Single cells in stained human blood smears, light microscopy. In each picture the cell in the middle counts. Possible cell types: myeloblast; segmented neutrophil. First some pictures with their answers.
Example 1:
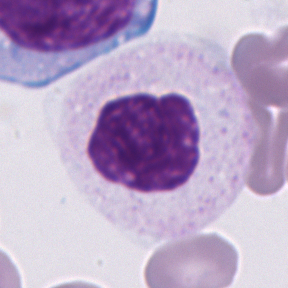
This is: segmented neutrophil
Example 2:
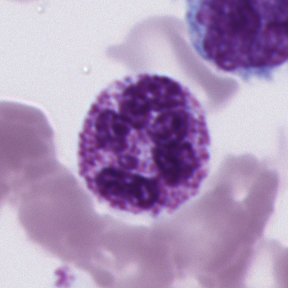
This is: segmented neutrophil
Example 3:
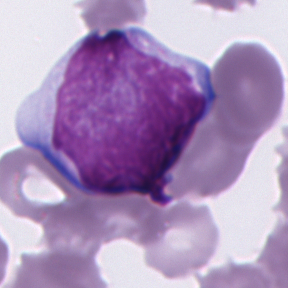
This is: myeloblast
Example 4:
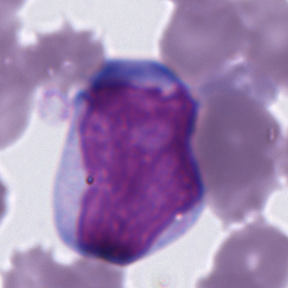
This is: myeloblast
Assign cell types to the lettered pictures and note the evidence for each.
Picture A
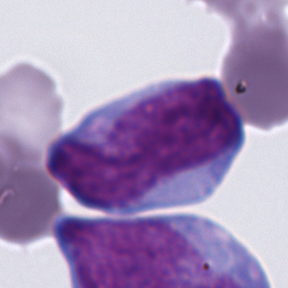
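Answer: myeloblast. The nucleus fills most of the cell.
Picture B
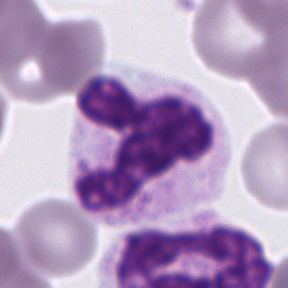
Answer: segmented neutrophil. The cytoplasm is plentiful and pale pinkish-lilac.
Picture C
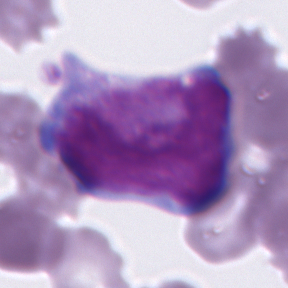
Answer: myeloblast. The nucleus fills most of the cell.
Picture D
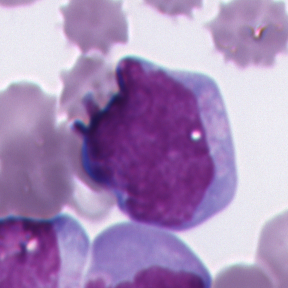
Answer: myeloblast. The nucleus fills most of the cell and lies toward its left side.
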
